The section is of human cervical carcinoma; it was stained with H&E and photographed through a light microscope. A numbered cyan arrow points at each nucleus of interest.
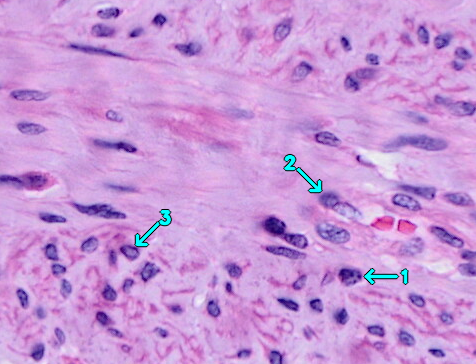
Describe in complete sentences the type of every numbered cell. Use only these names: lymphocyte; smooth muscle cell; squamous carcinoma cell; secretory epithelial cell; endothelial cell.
Cell 1 is a lymphocyte. Cell 2 is an endothelial cell. Cell 3 is a smooth muscle cell.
